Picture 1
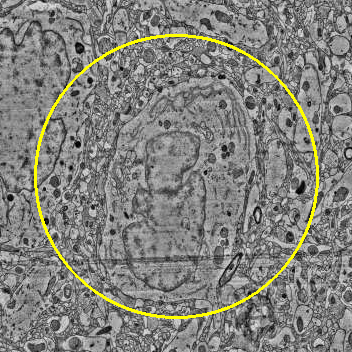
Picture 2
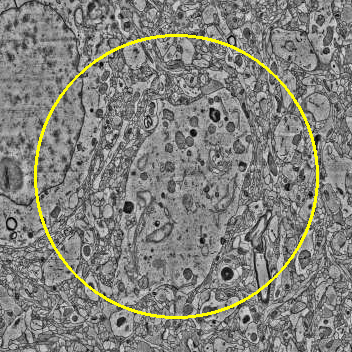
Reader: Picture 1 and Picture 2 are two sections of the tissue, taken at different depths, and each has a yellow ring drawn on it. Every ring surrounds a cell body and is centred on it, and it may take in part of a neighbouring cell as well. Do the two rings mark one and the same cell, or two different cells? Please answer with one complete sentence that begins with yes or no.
Yes, both rings are placed on a single cell.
